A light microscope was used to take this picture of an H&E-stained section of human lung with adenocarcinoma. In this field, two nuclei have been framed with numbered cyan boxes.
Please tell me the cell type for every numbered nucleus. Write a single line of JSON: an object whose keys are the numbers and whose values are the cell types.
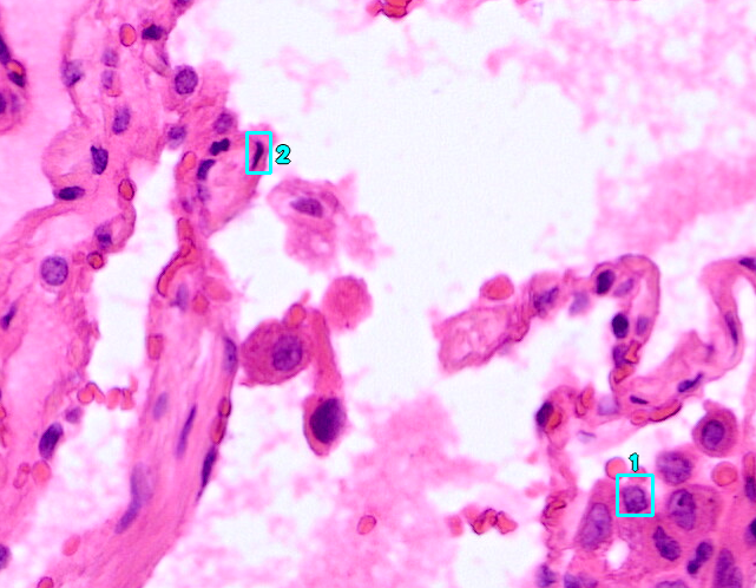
{"1": "macrophage or monocyte", "2": "endothelial cell"}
